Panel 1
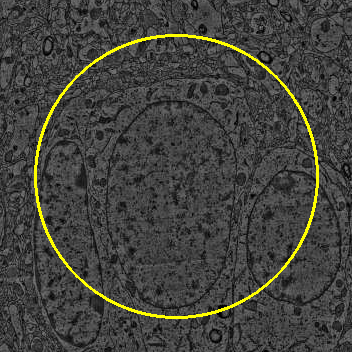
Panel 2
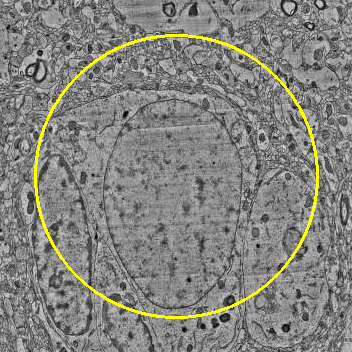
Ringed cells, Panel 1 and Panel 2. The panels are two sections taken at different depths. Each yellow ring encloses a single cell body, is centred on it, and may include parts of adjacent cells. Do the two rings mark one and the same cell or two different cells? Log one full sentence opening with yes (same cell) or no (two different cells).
Yes, the same cell appears within both yellow rings.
